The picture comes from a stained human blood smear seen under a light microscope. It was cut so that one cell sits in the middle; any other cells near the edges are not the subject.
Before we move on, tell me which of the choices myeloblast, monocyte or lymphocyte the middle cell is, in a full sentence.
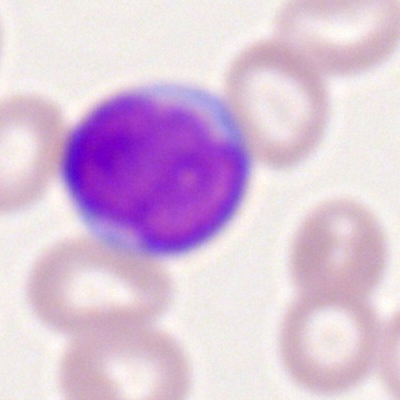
Here the cell in the middle is a myeloblast.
